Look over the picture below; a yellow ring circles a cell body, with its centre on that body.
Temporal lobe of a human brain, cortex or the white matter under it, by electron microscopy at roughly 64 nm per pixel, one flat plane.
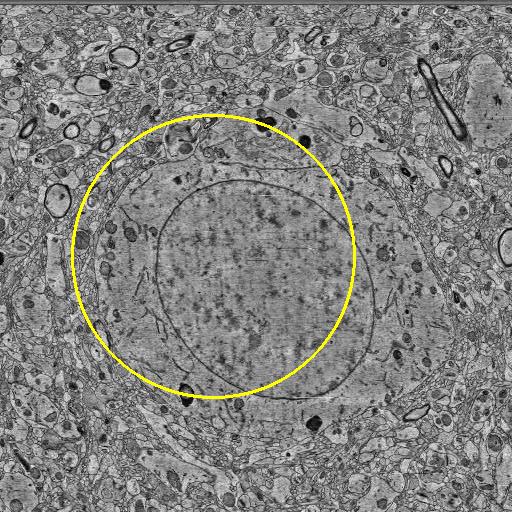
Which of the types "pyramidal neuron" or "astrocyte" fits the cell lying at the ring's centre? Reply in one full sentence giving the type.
The picture shows a pyramidal neuron at the centre of the yellow ring.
